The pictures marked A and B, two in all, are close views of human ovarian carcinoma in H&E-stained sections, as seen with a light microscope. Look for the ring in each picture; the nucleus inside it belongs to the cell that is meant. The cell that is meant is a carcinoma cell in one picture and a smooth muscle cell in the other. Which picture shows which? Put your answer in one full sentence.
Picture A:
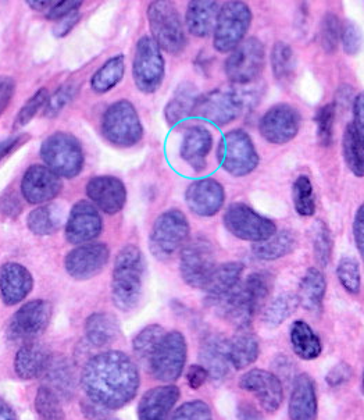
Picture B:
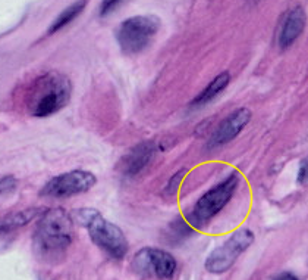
In picture A the cell is a carcinoma cell; in picture B, a smooth muscle cell.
